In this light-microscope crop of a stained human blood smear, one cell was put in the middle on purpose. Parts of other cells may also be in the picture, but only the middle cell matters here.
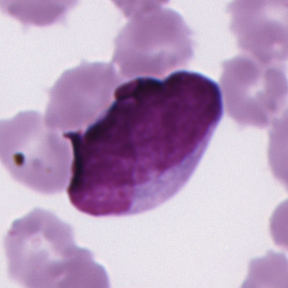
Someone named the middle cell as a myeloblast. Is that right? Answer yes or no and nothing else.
yes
